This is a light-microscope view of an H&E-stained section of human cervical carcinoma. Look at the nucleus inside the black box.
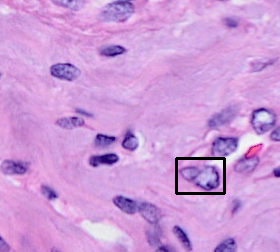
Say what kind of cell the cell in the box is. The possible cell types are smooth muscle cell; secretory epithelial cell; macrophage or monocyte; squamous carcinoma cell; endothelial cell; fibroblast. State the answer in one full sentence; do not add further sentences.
For cell typing purposes, the cell in the box is an endothelial cell.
